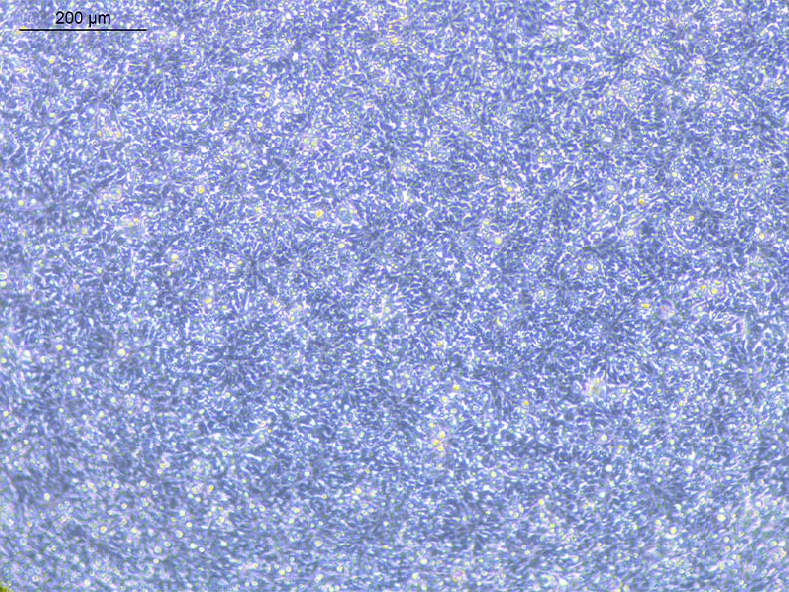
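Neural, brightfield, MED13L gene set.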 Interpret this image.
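This is a dense, fully confluent monolayer of cultured stem cells seen unstained at low magnification. The field is filled edge to edge with small, closely packed cells, many of them elongated and spindle-shaped or bipolar, with short processes. In many places the cells line up in radiating, swirling patterns that form loose rosette-like whorls, so the sheet looks darker where the cells crowd most densely. No bare gaps in the culture surface can be seen. Scattered across the sheet are small, bright, round refractile bodies, most likely rounded or loosely attached cells.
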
